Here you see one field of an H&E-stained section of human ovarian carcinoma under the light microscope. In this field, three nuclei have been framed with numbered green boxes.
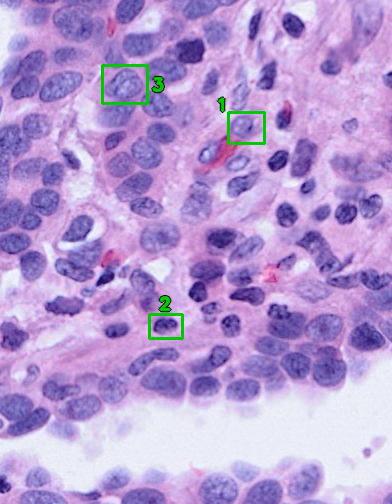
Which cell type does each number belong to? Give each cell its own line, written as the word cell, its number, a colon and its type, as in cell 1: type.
cell 1: endothelial cell
cell 2: lymphocyte
cell 3: carcinoma cell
